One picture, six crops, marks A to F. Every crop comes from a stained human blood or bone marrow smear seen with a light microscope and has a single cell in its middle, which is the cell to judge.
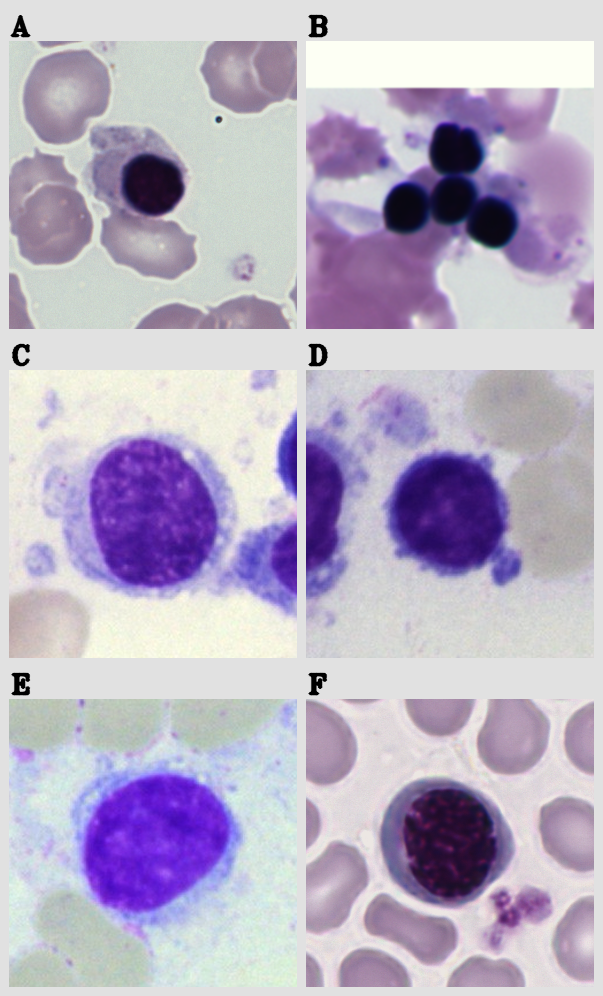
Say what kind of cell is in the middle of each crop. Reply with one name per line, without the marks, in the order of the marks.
erythroblast
erythroblast
hairy cell
lymphocyte
hairy cell
erythroblast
